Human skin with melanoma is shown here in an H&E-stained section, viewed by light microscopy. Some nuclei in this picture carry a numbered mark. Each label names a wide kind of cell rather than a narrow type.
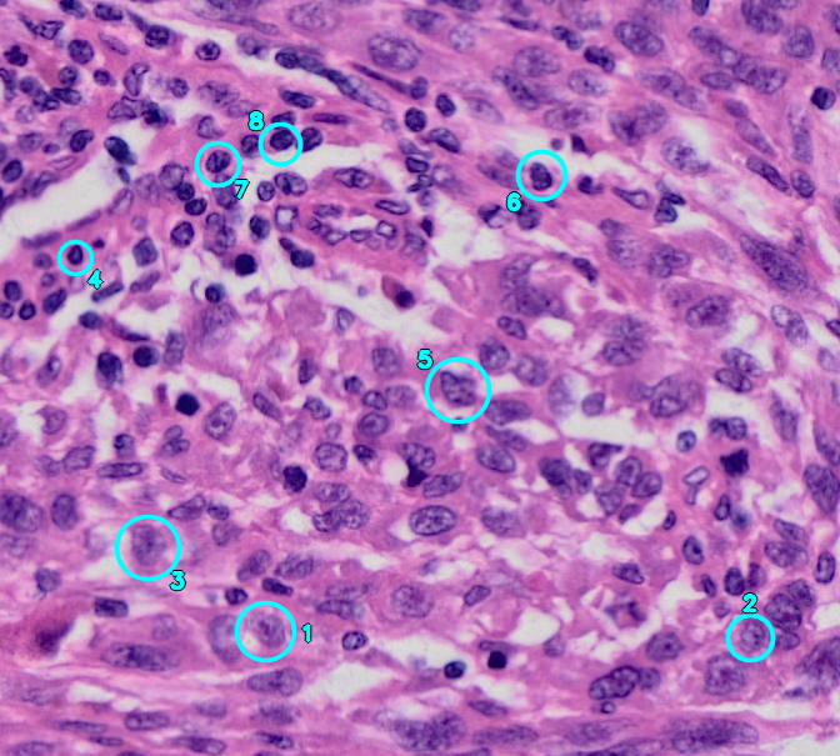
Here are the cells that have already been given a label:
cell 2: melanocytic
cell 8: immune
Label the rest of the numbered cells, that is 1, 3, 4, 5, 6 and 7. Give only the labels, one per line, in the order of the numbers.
melanocytic
melanocytic
immune
melanocytic
immune
immune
